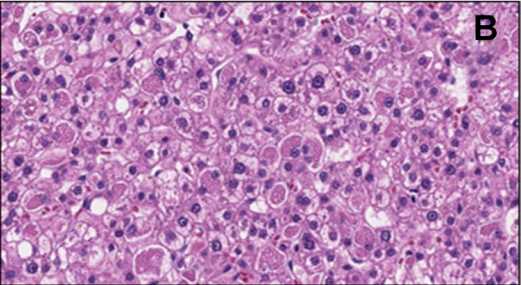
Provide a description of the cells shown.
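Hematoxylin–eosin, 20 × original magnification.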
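These are sheets of tumor cells that are polygonal, with ample pink cytoplasm and sharp cell borders. Their nuclei are round and central, many with a distinct dark nucleolus. Within the cytoplasm of many cells lie round, glassy pink globules, often set in a small clear halo. The cells are closely packed with little intervening stroma.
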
